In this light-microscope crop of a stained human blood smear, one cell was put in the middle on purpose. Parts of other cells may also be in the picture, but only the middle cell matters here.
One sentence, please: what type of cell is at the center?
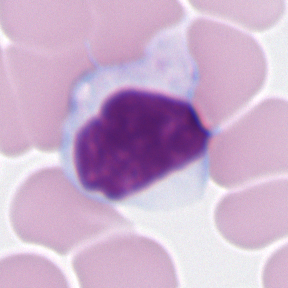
The centrally placed cell is classified as a typical lymphocyte.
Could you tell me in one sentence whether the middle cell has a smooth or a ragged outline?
Because its outline is ragged or drawn out into projections, the cell lacks a smooth border.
